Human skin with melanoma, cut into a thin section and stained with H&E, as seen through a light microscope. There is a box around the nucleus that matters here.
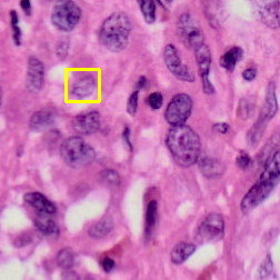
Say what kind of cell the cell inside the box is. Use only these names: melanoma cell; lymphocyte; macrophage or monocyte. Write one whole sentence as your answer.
Considered by cell type, the cell inside the box is a melanoma cell.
